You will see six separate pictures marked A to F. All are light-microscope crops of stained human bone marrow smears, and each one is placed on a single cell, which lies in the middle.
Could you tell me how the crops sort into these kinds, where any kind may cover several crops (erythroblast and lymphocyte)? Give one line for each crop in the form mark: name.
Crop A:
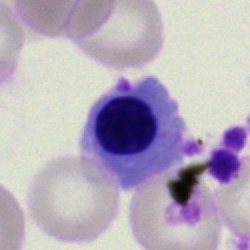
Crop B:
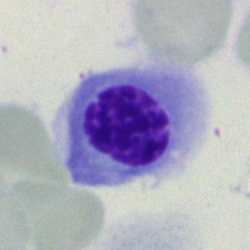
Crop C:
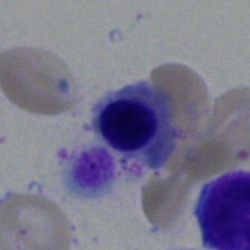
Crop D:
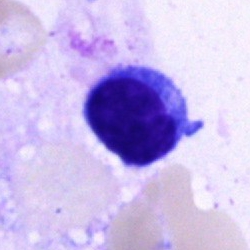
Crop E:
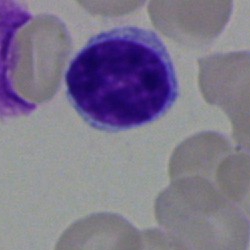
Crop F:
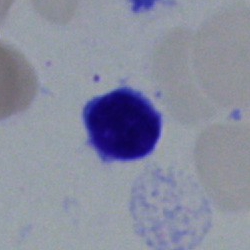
A: erythroblast
B: erythroblast
C: erythroblast
D: lymphocyte
E: lymphocyte
F: lymphocyte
